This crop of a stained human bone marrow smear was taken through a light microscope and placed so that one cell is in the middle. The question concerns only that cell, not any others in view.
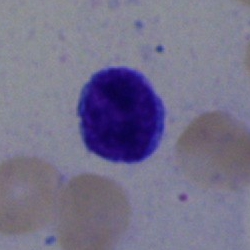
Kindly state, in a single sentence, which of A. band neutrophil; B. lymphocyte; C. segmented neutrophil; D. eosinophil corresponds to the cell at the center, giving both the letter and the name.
The correct option is B, as the central cell is a lymphocyte.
